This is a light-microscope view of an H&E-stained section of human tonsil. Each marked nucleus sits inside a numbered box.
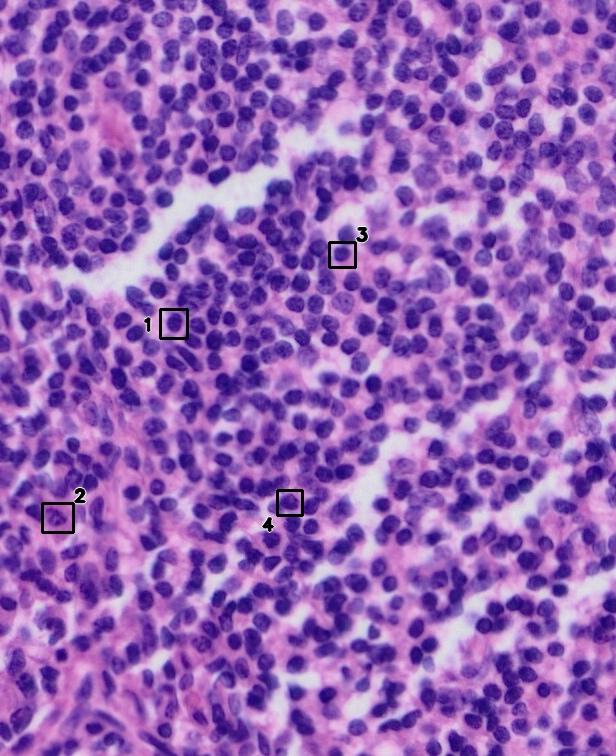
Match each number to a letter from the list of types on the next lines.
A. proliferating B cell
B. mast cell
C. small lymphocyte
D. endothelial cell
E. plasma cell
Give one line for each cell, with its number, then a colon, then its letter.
1: C
2: E
3: C
4: C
